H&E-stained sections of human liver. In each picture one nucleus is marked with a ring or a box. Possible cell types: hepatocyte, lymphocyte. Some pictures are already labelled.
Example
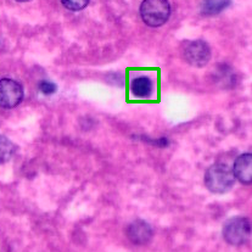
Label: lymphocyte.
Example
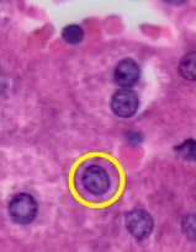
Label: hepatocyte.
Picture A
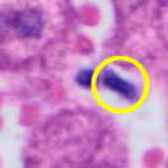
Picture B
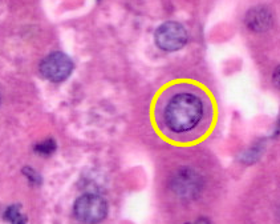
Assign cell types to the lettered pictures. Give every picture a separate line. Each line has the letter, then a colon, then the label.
A: lymphocyte.
B: hepatocyte.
